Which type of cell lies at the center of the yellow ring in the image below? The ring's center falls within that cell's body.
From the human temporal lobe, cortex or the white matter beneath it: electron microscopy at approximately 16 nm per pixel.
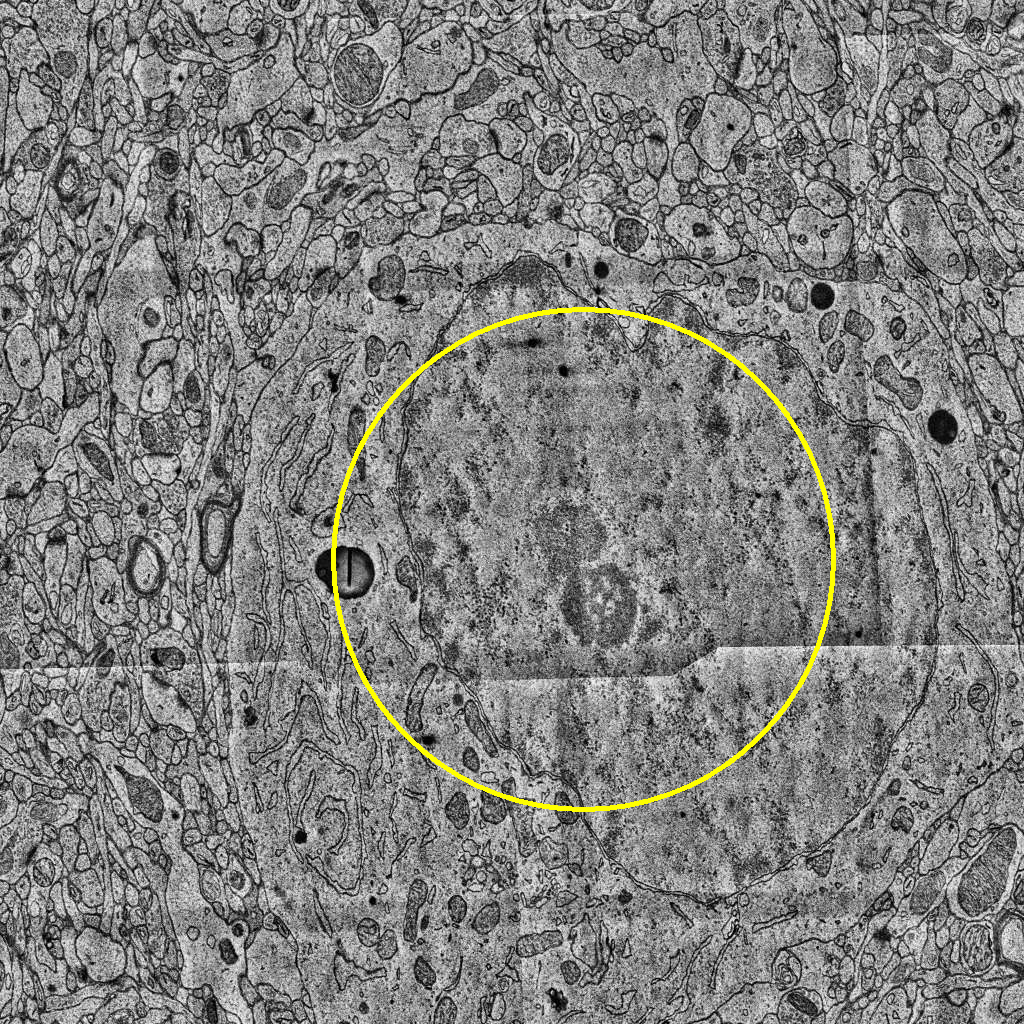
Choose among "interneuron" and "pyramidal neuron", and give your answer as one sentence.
The cell body at the center belongs to an interneuron.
